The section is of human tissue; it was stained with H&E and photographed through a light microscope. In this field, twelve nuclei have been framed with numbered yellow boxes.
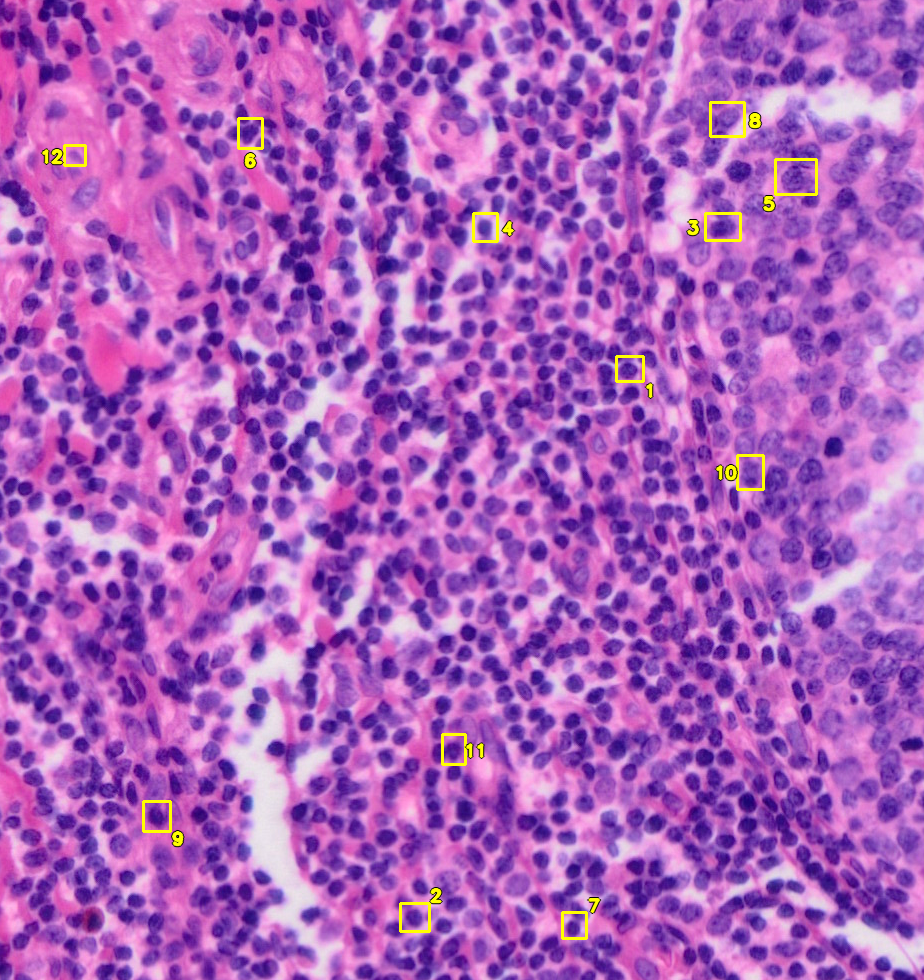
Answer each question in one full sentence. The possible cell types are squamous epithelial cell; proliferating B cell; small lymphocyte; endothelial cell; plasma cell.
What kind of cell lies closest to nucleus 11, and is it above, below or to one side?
The nearest one is a small lymphocyte, found to the left of nucleus 11.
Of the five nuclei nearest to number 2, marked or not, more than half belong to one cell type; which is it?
Most of the five nuclei nearest to number 2 are those of small lymphocytes.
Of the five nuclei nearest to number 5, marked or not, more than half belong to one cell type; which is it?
Most of the five nuclei nearest to number 5 are those of proliferating B cells.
